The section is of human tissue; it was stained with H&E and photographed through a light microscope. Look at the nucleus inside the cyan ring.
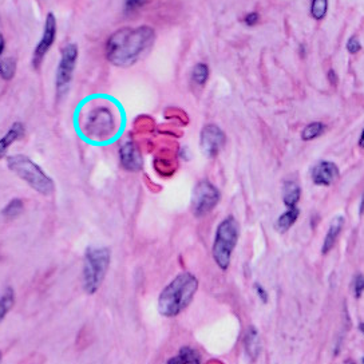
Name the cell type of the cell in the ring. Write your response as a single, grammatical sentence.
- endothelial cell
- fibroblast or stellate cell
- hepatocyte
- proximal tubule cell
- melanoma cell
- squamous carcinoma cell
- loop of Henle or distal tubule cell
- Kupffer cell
In the context of this tissue, the cell in the ring is an endothelial cell.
